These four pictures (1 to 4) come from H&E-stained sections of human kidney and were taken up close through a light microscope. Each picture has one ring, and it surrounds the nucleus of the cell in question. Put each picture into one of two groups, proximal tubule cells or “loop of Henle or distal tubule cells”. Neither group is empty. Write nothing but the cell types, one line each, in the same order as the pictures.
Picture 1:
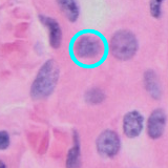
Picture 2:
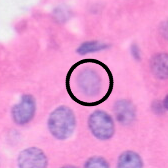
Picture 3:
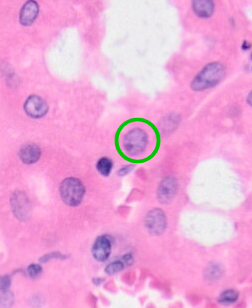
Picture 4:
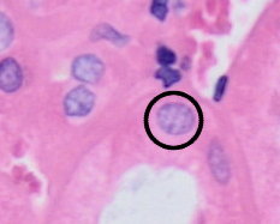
loop of Henle or distal tubule cell
loop of Henle or distal tubule cell
proximal tubule cell
proximal tubule cell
